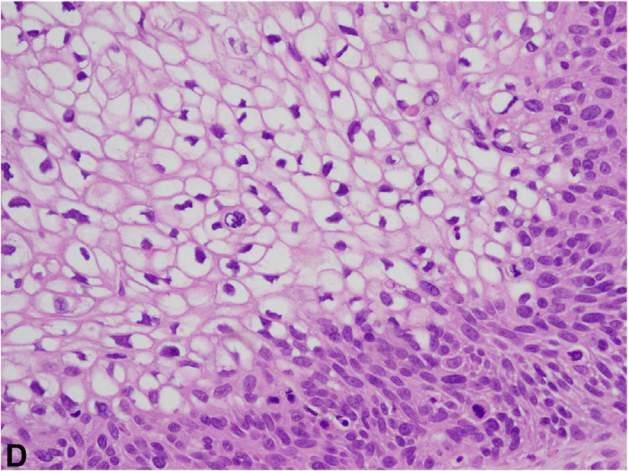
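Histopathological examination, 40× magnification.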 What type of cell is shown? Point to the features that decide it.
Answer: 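Keratinocytes with clear cytoplasm and well-defined borders. Many polygonal cells with empty-looking pale cytoplasm. Sharp pink cell membranes outline each cell. Smaller darker basaloid cells lie at the lower right.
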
